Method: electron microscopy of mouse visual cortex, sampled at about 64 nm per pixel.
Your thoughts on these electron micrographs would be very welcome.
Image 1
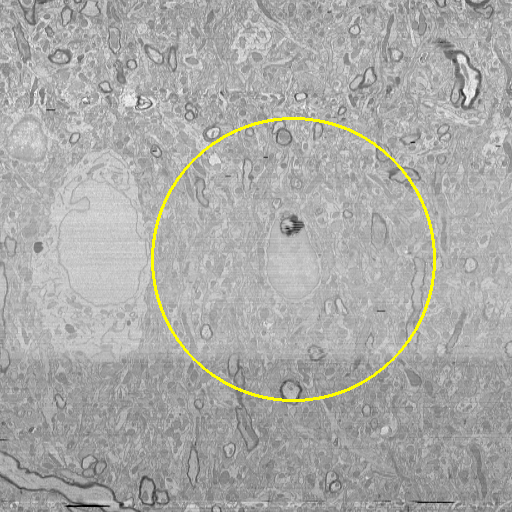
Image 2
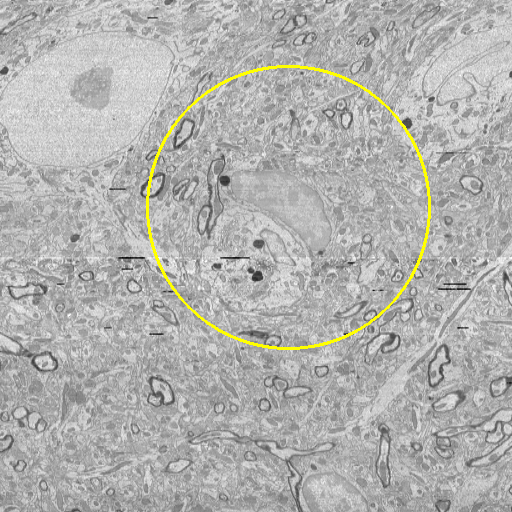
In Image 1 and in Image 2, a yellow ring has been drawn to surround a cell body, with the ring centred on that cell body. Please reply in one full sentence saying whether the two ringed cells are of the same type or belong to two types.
The ringed cells in Image 1 and Image 2 are of the same type.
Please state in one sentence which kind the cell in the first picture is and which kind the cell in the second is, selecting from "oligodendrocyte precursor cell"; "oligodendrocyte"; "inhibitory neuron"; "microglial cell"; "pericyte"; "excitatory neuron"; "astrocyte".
Each cell at the centre of a ring is a microglial cell.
